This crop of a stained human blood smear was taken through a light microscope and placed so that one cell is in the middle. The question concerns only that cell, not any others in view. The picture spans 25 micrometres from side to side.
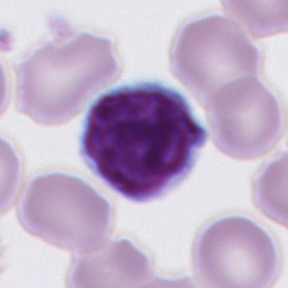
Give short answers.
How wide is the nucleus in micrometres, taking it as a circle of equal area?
9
